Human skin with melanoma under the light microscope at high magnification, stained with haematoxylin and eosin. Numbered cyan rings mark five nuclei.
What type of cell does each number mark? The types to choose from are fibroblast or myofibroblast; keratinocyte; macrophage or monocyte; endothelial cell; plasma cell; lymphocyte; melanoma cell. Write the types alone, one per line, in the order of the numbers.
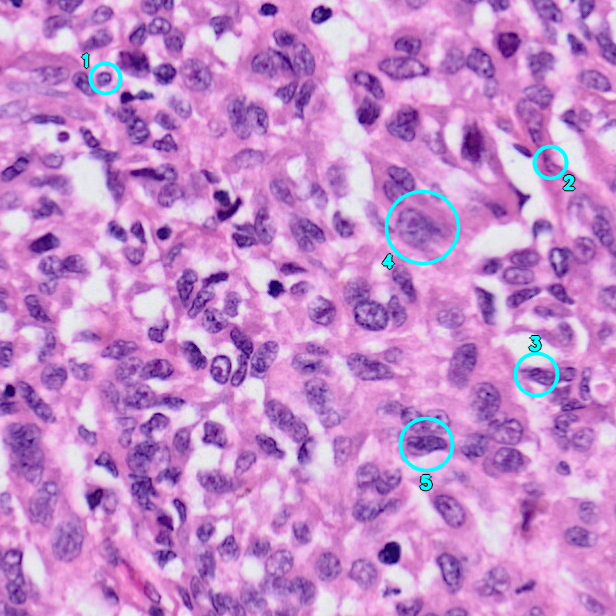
lymphocyte
endothelial cell
melanoma cell
melanoma cell
melanoma cell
